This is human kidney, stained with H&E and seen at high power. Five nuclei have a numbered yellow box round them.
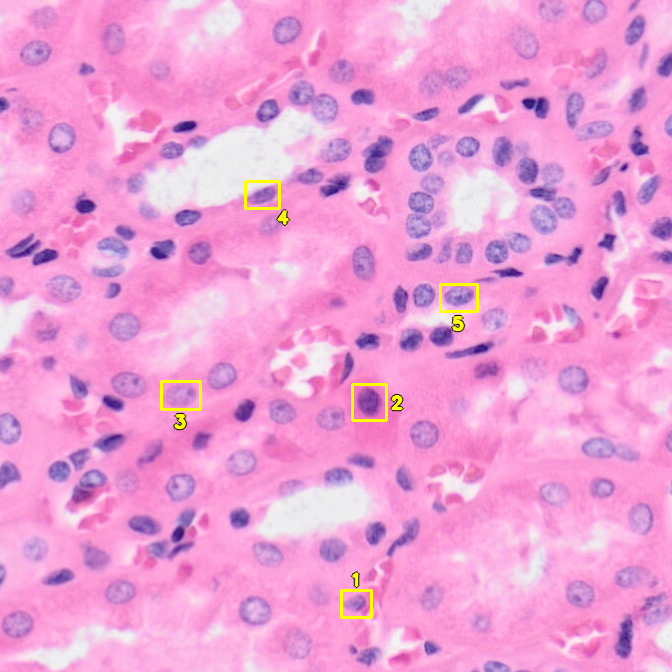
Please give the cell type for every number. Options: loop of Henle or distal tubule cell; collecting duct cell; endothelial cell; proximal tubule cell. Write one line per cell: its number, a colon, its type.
1: endothelial cell
2: proximal tubule cell
3: proximal tubule cell
4: loop of Henle or distal tubule cell
5: loop of Henle or distal tubule cell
